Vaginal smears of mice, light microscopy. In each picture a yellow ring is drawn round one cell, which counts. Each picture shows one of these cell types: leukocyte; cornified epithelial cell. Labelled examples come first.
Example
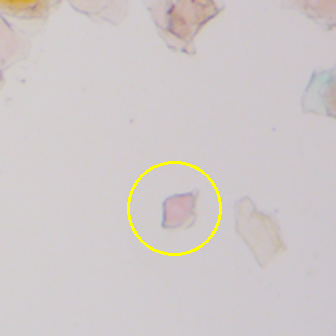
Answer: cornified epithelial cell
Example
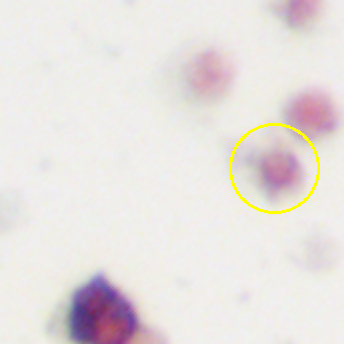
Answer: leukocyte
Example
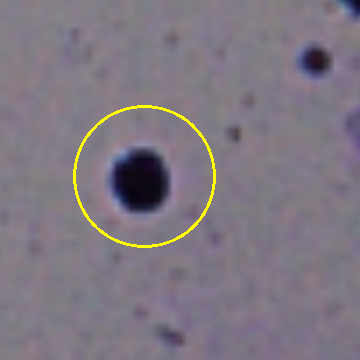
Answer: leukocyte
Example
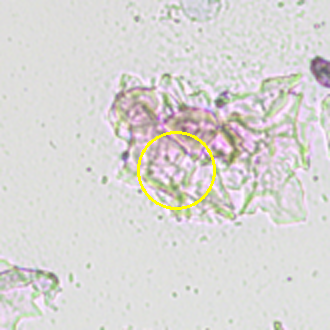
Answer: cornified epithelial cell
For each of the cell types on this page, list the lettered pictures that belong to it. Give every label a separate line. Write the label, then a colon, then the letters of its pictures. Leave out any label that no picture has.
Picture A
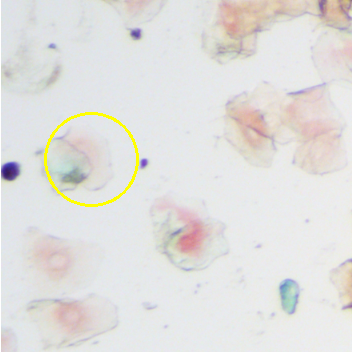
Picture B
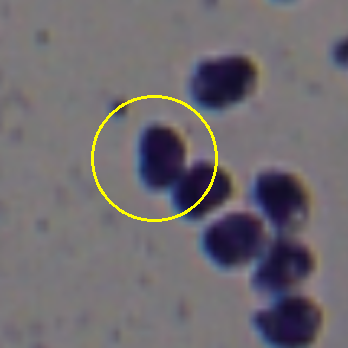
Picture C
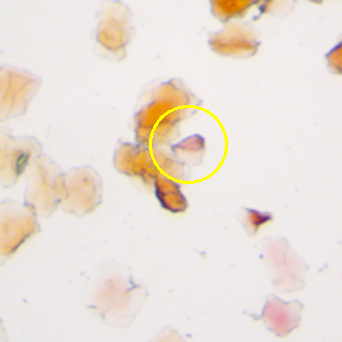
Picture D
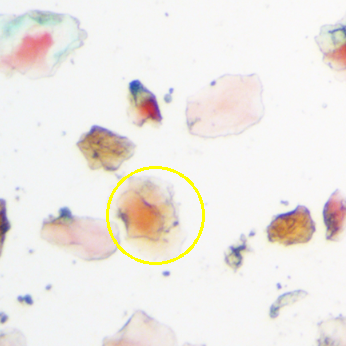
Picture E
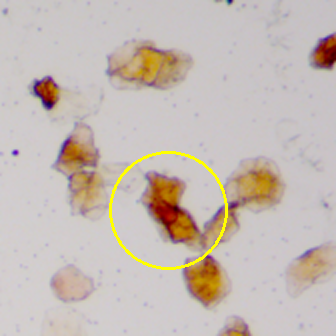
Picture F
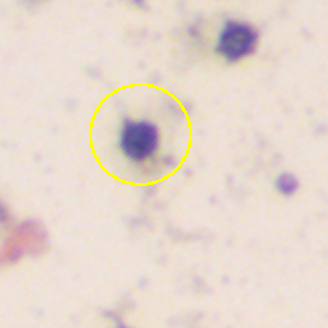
leukocyte: B, F
cornified epithelial cell: A, C, D, E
